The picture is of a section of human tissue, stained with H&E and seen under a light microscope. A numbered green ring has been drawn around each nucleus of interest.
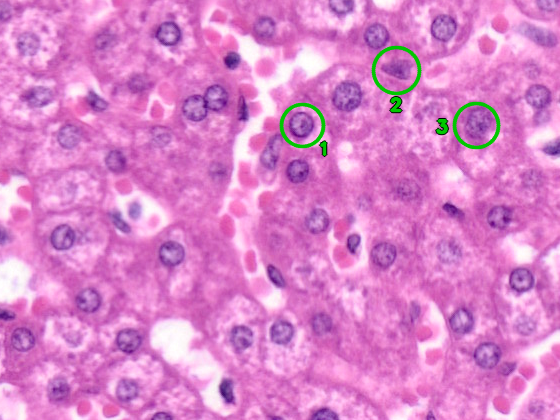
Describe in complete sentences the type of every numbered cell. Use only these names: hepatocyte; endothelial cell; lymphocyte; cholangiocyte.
Cells 1 and 3 are hepatocytes. Cell 2 is an endothelial cell.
